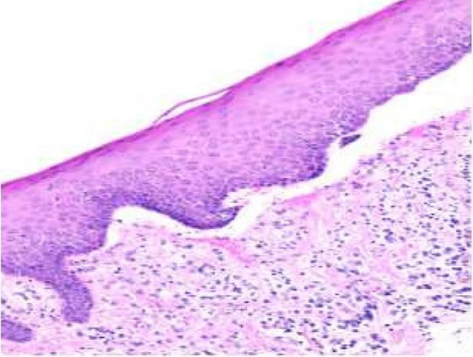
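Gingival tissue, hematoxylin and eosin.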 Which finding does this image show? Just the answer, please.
Subepithelial split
